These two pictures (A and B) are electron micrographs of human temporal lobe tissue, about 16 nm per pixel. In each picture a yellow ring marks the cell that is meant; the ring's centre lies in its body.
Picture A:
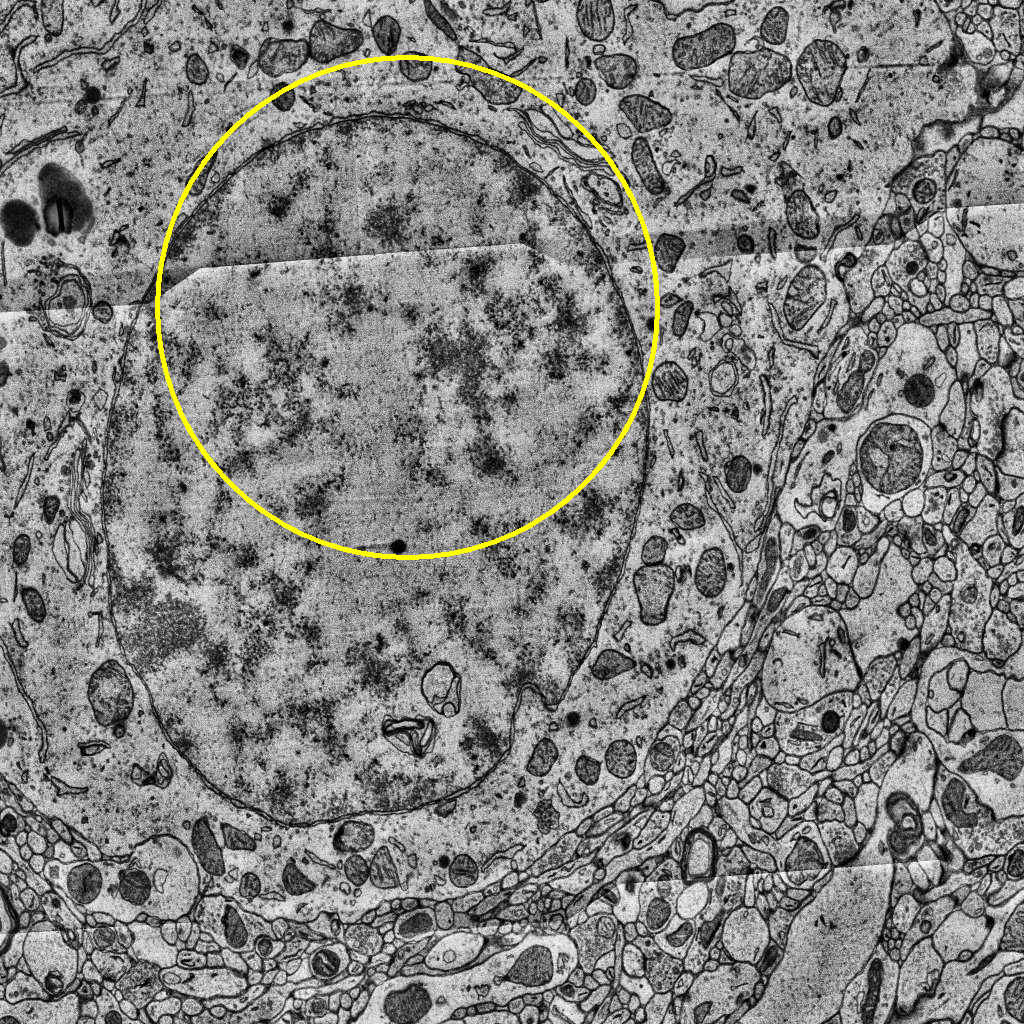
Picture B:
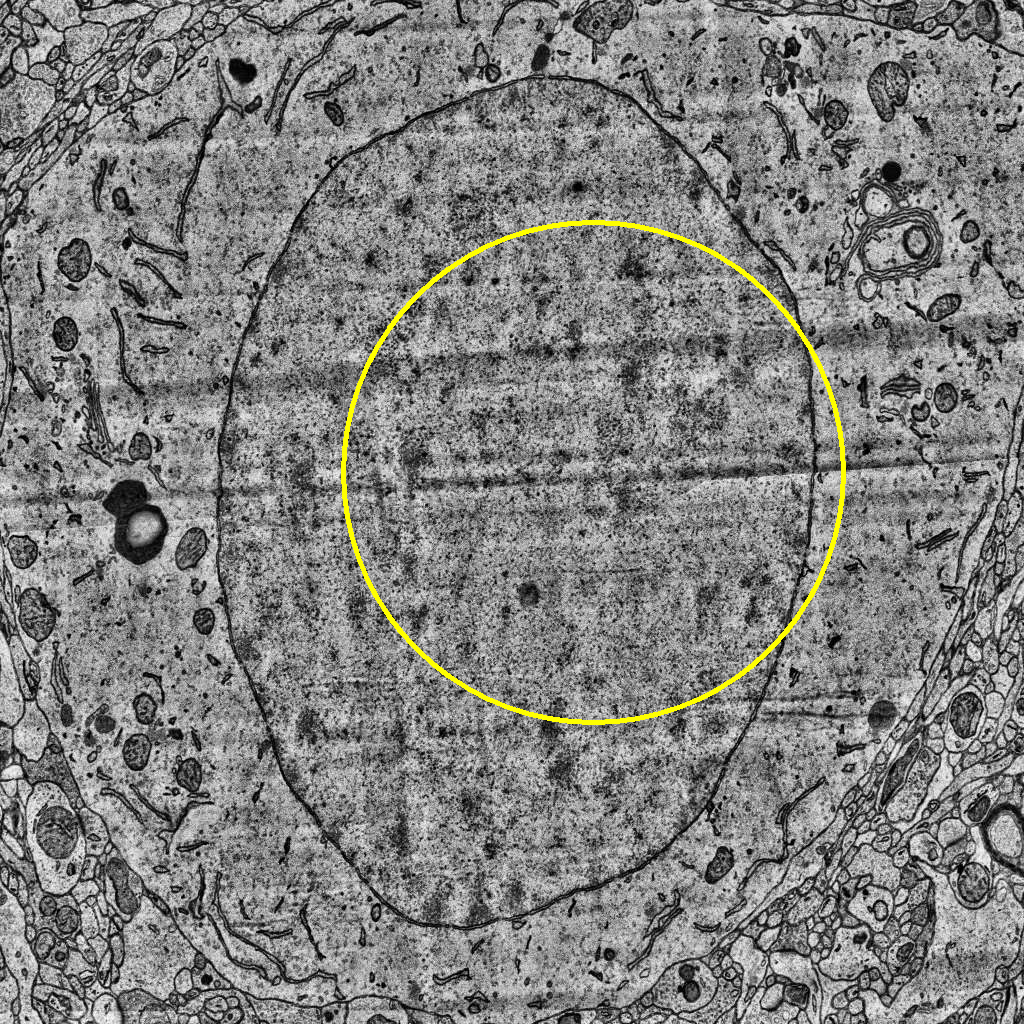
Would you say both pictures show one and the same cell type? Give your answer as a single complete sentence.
No. Picture A shows an interneuron, but picture B shows a pyramidal neuron.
